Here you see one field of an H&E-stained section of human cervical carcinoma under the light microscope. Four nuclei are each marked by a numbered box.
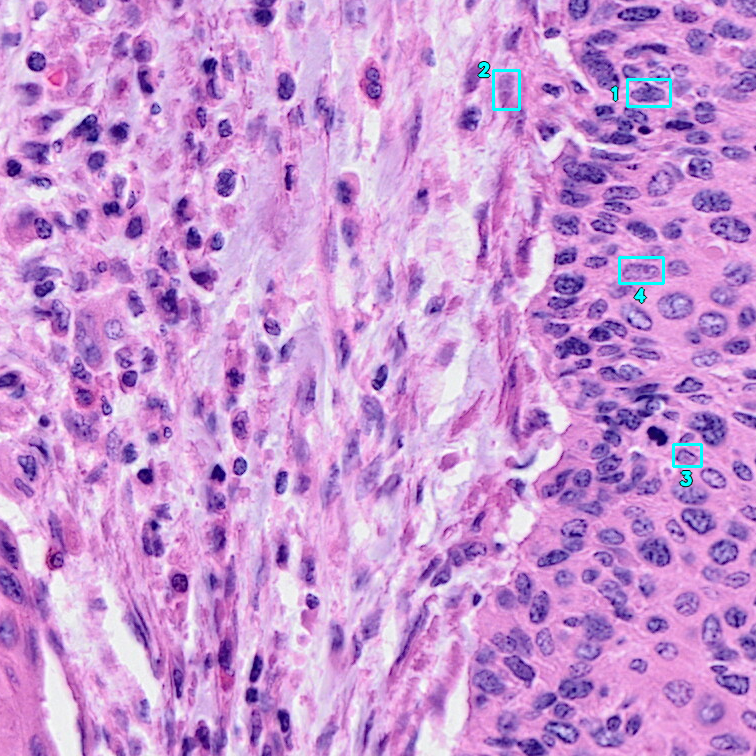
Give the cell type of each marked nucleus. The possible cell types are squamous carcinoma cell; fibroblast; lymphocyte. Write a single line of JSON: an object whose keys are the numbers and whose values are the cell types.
{"1": "squamous carcinoma cell", "2": "fibroblast", "3": "squamous carcinoma cell", "4": "squamous carcinoma cell"}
